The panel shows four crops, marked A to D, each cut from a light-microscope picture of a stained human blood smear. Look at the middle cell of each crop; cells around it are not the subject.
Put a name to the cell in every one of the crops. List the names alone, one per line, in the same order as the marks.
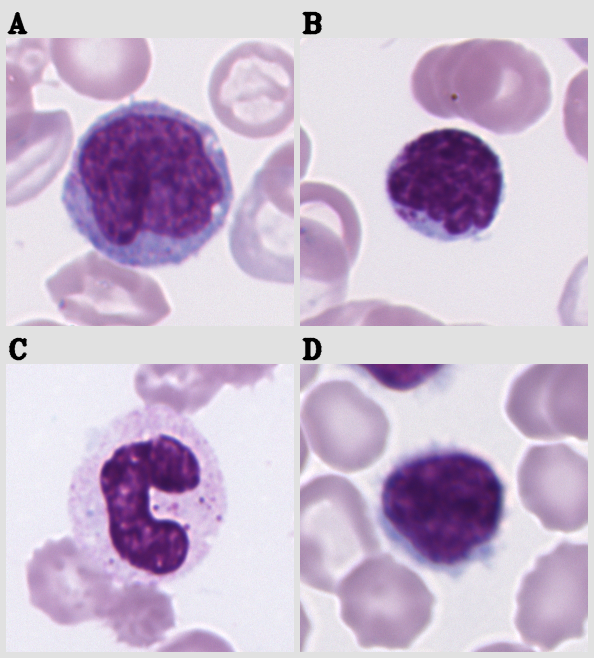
monocyte
large granular lymphocyte
band neutrophil
hairy cell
